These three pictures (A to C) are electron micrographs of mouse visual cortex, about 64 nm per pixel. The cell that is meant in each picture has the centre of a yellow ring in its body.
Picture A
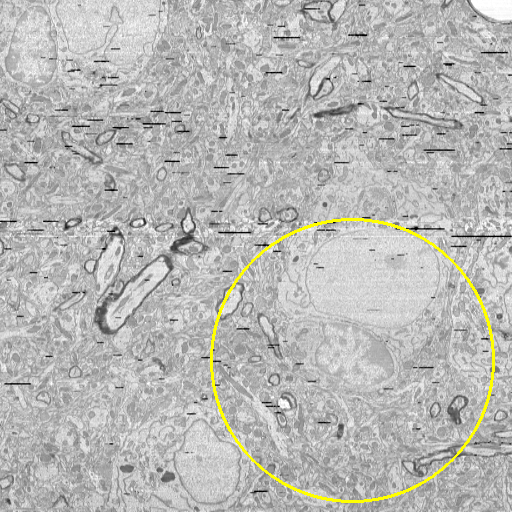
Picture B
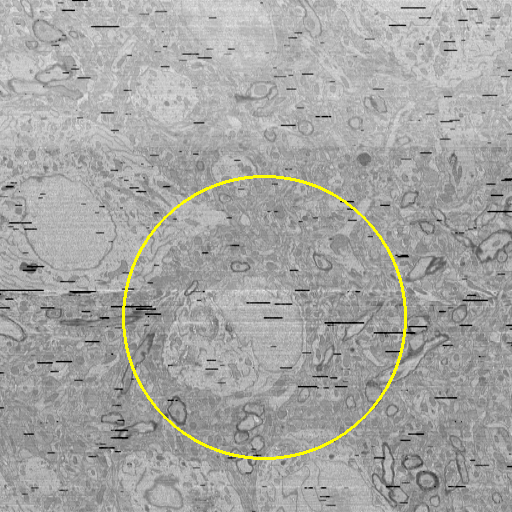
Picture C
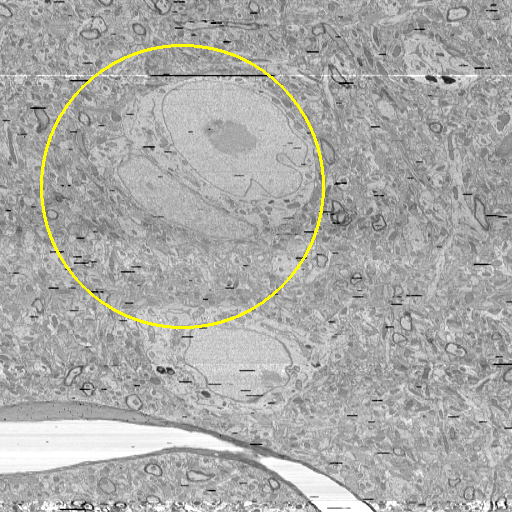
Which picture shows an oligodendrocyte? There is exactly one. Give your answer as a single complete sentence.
Picture A shows the oligodendrocyte.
